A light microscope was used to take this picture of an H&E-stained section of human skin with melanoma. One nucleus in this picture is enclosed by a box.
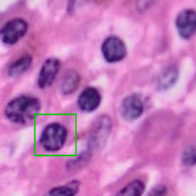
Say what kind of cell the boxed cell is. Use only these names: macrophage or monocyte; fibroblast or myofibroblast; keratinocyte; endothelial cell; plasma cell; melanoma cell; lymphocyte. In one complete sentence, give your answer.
As classified here, the boxed cell is a plasma cell.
